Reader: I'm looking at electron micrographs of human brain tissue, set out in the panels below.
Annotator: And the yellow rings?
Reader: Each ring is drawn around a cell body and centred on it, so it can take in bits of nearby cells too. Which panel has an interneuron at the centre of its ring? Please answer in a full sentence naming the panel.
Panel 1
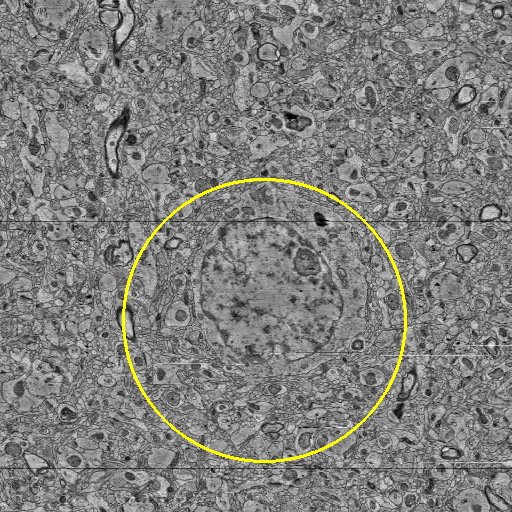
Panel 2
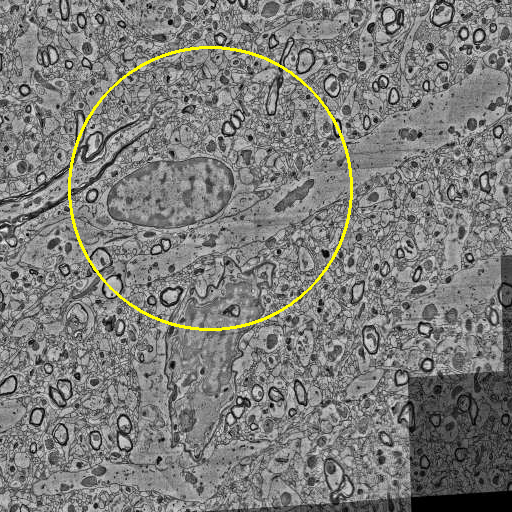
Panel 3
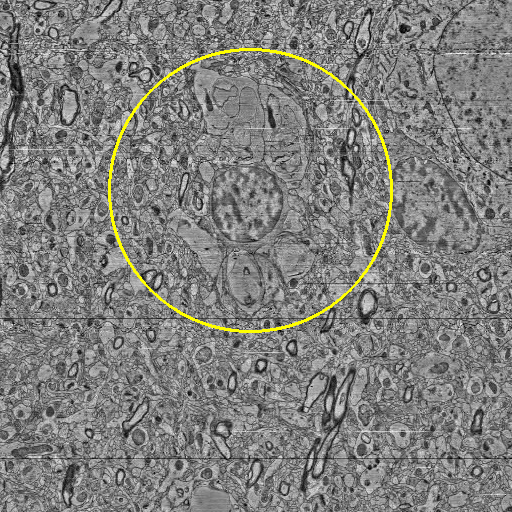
Panel 1 has it at the centre of its ring.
